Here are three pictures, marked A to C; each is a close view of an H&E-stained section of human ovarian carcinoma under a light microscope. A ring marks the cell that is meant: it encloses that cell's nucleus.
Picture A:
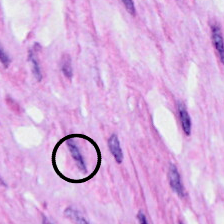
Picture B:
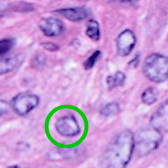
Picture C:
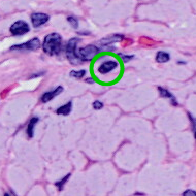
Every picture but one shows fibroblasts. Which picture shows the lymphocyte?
C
